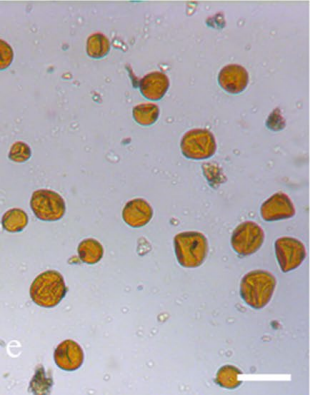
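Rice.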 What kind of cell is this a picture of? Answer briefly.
Pollen grains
